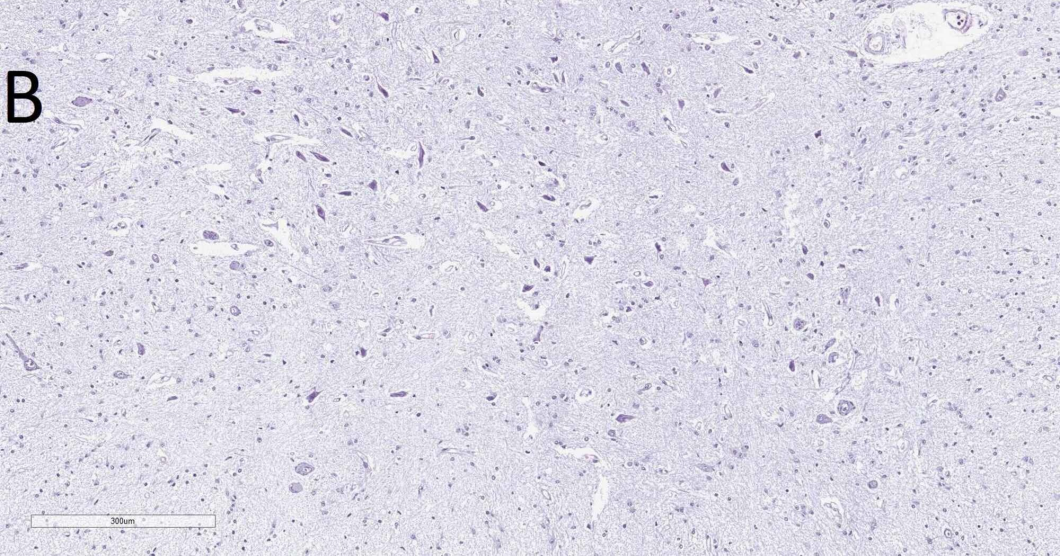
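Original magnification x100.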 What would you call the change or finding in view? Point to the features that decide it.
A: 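Degenerative neurons. Scattered large cells with shrunken, angular, darkly stained purple cytoplasm. Few neurons have a clear rounded nucleus.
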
